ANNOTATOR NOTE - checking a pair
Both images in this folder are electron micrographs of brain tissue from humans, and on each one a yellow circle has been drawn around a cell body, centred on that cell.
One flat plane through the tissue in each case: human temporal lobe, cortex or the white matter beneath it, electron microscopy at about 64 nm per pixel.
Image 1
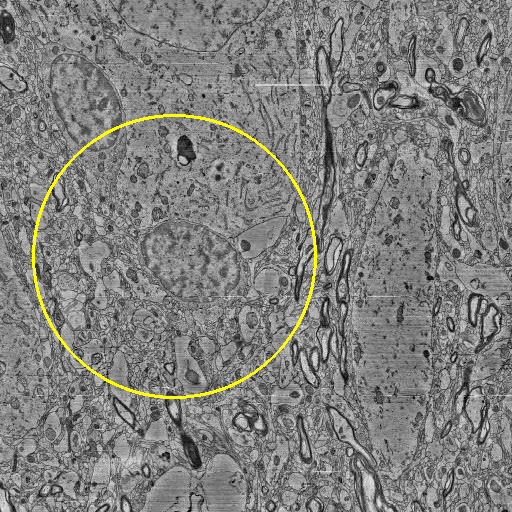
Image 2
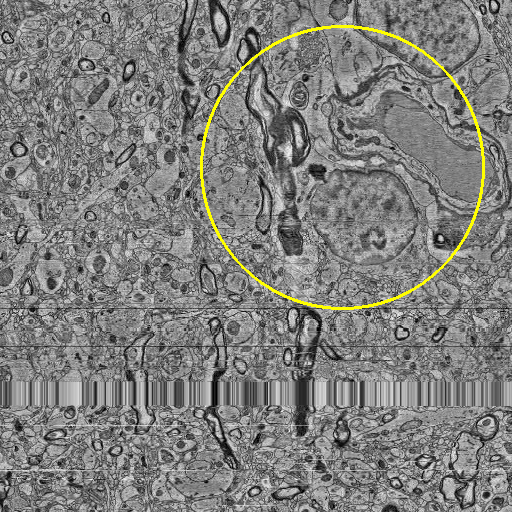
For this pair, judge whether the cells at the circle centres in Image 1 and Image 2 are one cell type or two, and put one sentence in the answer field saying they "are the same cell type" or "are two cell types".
For this pair, the cells at the circle centres in Images 1 and 2 are the same cell type.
